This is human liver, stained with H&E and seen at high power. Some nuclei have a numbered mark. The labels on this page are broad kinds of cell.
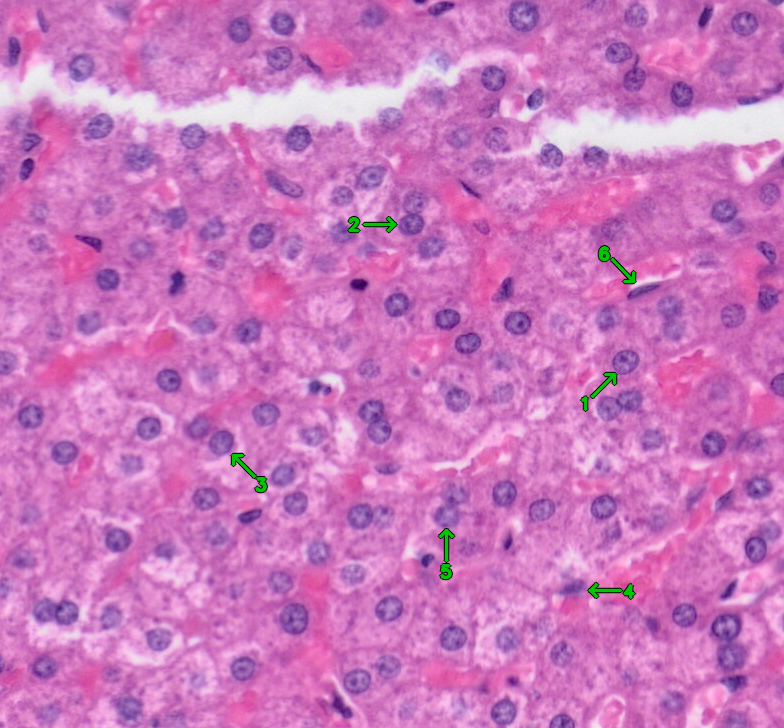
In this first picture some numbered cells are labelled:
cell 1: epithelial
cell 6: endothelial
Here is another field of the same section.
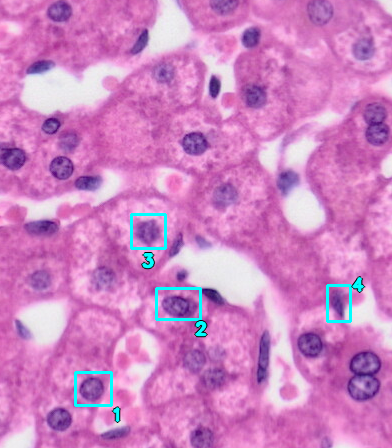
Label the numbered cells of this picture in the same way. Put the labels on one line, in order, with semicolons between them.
epithelial; epithelial; epithelial; endothelial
